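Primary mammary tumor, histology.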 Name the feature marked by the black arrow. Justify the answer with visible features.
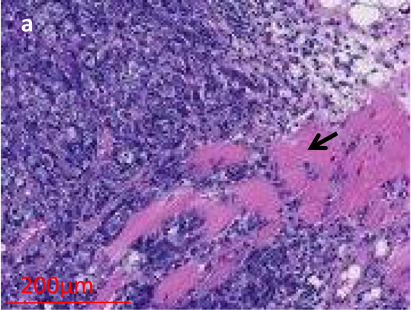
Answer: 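Muscle fibers. The arrow points at bands of bright pink, homogeneous tissue. These pink bands are elongated and run in parallel strips. Densely packed dark purple tumor cells surround and infiltrate between the bands.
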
